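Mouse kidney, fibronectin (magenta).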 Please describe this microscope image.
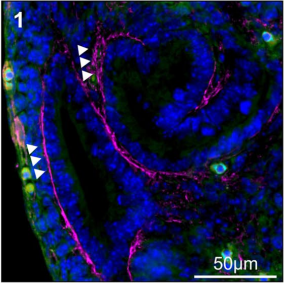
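The tubes are cut lengthwise and obliquely; their walls consist of tall, tightly packed cells with elongated, densely crowded blue nuclei, forming a thick epithelium around narrow lumens. A thin, sharp magenta line runs along the outer, basal border of these epithelia, indicated by arrowheads. Between the tubes lies looser tissue with scattered rounded nuclei and a fine network of faint magenta fibrils.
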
